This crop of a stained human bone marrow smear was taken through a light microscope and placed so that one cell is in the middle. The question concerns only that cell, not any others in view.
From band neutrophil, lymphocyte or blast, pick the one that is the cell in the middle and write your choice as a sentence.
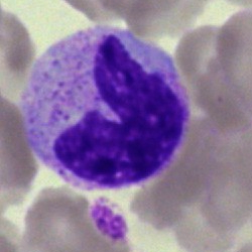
The single cell at the center of the crop is a band neutrophil.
